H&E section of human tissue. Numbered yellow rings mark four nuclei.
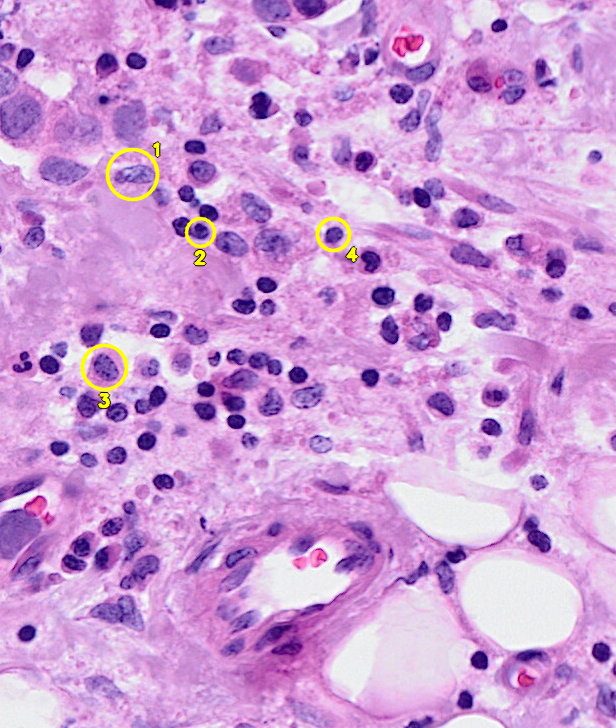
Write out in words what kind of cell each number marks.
Cell 1 is a macrophage, monocyte or dendritic cell. Cells 2 and 4 are lymphocytes. Cell 3 is a mast cell.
